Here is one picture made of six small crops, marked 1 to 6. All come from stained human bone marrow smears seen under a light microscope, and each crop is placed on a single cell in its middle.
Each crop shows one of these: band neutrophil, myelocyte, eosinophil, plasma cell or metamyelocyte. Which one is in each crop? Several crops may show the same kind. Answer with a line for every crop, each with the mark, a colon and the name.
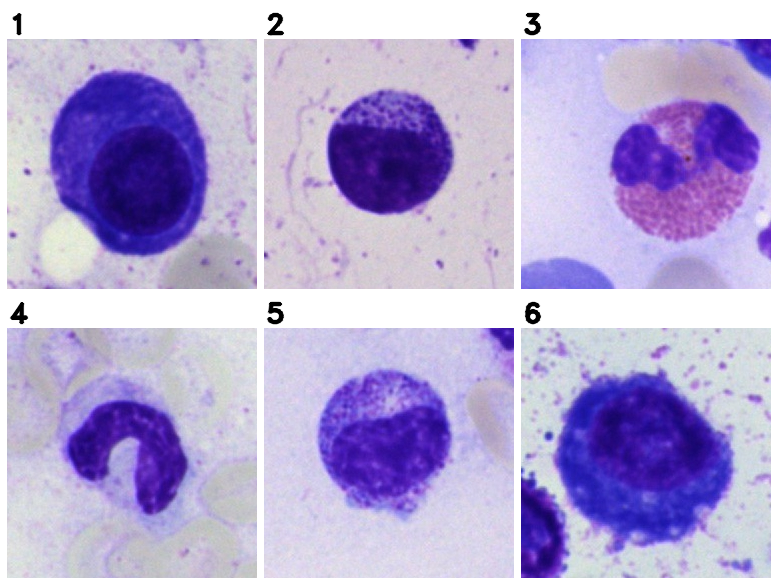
1: plasma cell
2: metamyelocyte
3: eosinophil
4: band neutrophil
5: myelocyte
6: plasma cell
